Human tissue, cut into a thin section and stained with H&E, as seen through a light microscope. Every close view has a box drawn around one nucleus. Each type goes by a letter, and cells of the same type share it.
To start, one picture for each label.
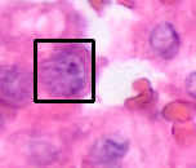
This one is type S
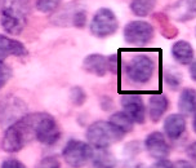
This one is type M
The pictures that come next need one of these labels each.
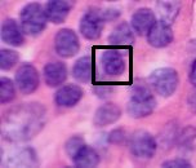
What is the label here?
type M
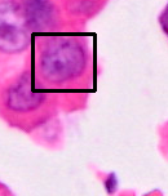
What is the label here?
type S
